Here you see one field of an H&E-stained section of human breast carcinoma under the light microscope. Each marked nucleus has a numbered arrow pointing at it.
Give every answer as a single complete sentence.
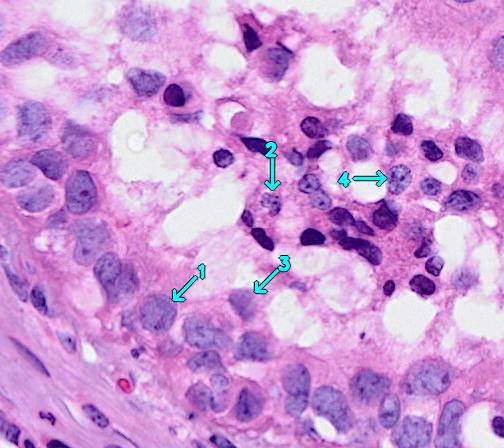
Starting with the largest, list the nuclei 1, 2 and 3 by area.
Going from the biggest nucleus down to the smallest gives 1, 3, 2.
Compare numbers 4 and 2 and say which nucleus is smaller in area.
It is nucleus 2; nucleus 4 has about 2 times its area.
